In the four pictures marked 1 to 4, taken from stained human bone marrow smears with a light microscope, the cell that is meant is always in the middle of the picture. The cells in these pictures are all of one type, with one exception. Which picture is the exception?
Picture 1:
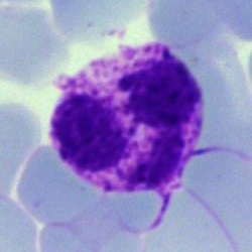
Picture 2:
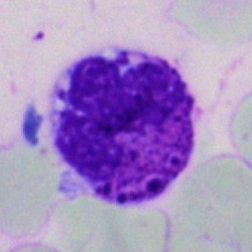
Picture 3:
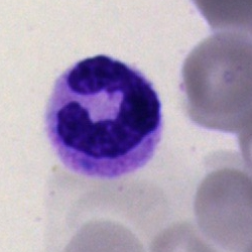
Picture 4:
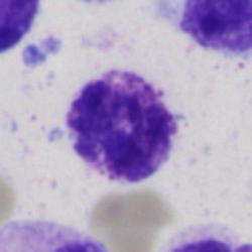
3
